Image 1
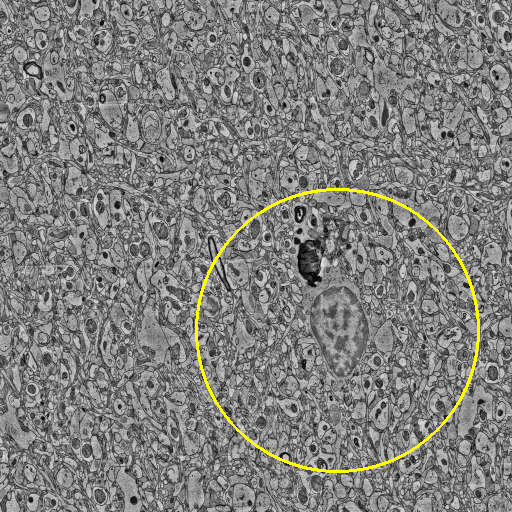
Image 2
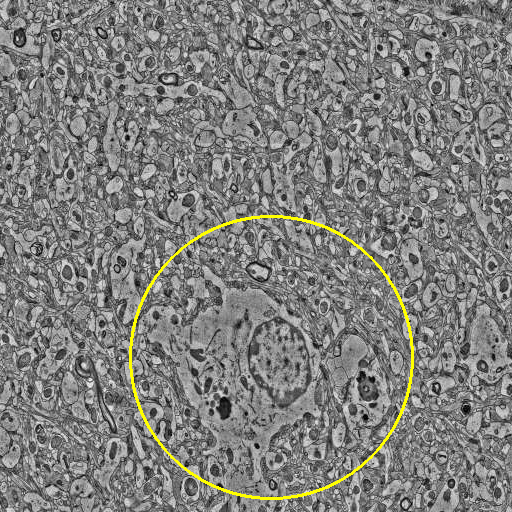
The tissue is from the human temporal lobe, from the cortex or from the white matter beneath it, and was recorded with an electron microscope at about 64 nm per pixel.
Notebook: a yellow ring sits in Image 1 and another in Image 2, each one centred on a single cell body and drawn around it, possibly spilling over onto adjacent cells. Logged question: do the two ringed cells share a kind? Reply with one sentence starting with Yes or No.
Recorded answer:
No, the centre cells inside the rings of Image 1 and Image 2 are of two kinds.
